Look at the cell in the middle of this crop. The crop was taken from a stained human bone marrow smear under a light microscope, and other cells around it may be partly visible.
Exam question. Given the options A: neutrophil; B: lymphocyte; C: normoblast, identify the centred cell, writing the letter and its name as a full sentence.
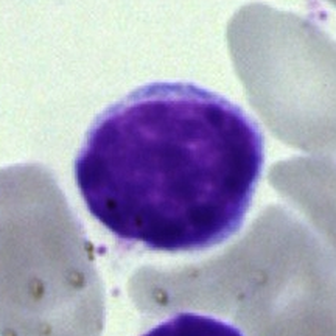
The central cell in this crop is a lymphocyte, so the correct choice is option B.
